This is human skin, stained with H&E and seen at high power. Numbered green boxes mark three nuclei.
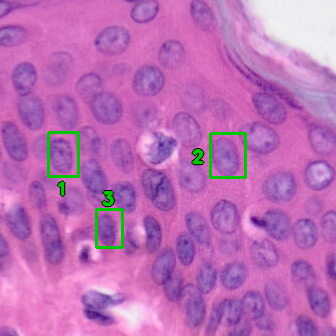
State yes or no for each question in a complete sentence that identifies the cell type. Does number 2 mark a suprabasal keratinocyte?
Yes, the cell that the number 2 labels is a suprabasal keratinocyte.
